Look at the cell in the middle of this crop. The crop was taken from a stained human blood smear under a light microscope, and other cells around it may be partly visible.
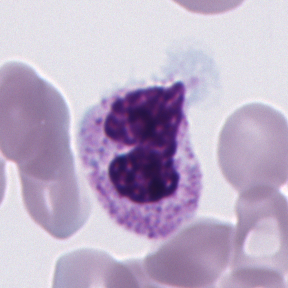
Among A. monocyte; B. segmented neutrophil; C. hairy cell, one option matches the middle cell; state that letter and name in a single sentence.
Option B holds, for the cell in the middle is a segmented neutrophil.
